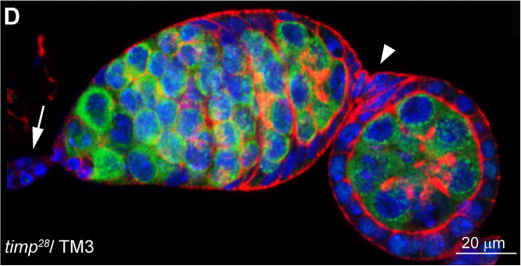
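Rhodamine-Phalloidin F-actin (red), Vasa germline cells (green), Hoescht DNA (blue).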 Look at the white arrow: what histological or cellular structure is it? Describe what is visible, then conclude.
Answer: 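The arrow points to a short row of small flattened cells at the narrow left tip. The row lies anterior to the oval mass of green cells.
Answer: terminal filament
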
